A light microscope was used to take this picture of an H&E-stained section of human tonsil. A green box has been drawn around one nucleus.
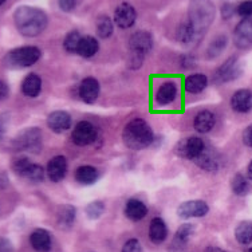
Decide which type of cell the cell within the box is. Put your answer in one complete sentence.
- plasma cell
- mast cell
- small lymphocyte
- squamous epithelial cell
In terms of identity, the cell within the box is a plasma cell.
